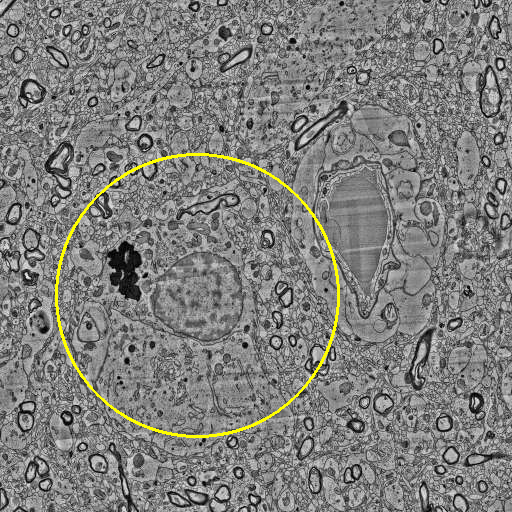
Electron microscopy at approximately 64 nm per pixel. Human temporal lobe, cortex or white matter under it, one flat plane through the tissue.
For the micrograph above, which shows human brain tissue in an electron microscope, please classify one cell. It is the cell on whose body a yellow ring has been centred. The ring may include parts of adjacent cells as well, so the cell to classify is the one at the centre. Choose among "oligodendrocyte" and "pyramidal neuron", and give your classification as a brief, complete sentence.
I classify this cell as an oligodendrocyte.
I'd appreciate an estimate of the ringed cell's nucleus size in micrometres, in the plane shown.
Roughly 6 micrometres across, measured in this plane.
